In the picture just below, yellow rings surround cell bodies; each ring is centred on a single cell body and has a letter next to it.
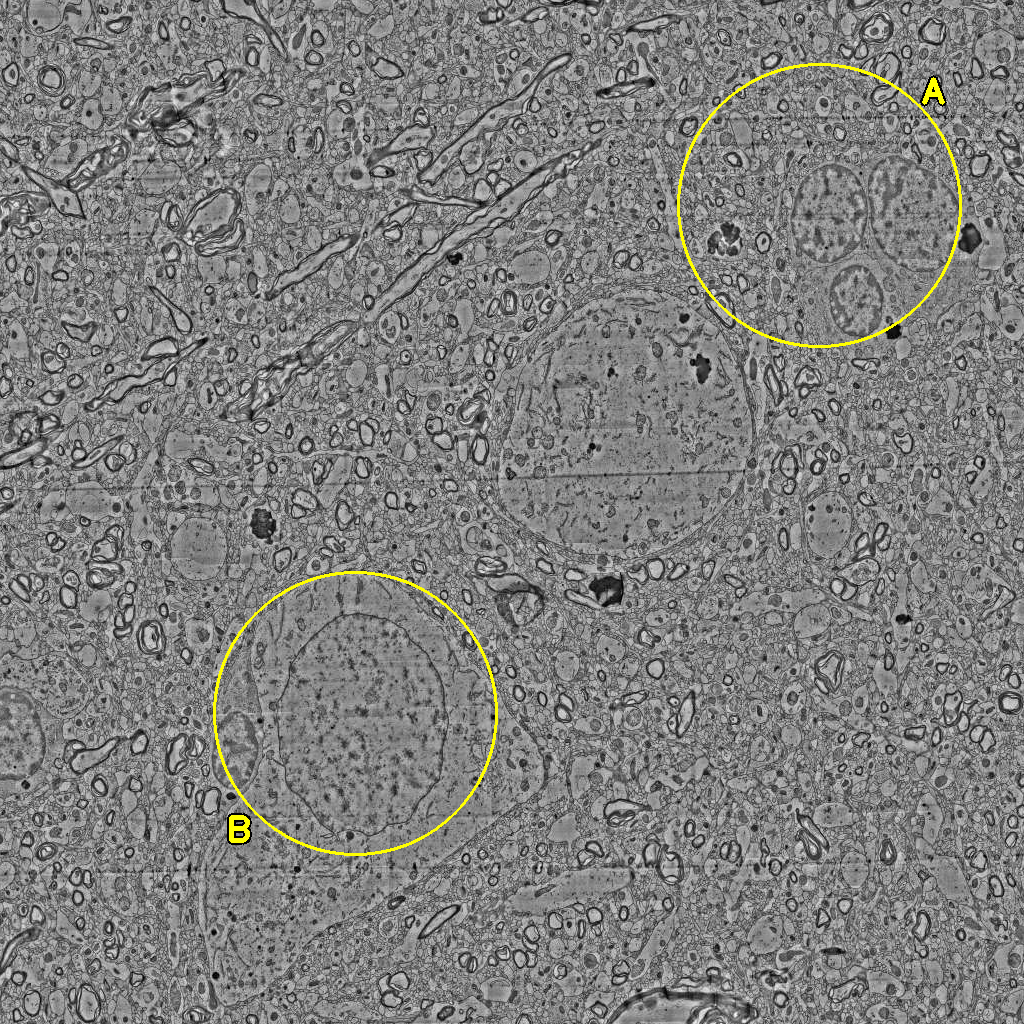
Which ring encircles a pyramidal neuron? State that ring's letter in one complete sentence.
The letter B marks the ring centred on the cell asked for in the picture.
